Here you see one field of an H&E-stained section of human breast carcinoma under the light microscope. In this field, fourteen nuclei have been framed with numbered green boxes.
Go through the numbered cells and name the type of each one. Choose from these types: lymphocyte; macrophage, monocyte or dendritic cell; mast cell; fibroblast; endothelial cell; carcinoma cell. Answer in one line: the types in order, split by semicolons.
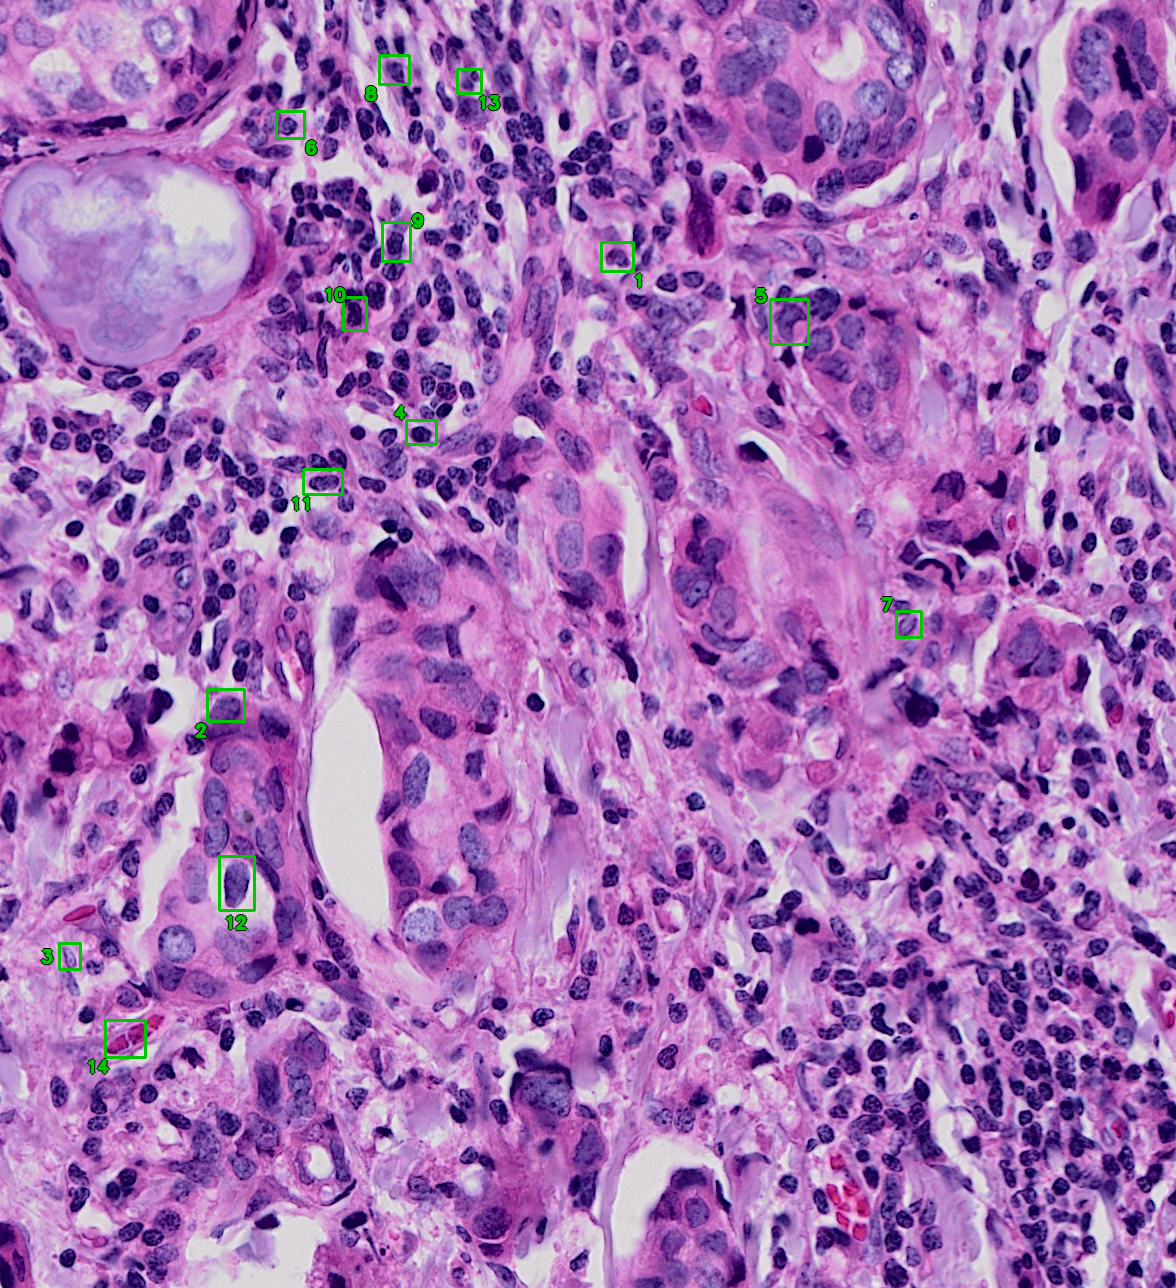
lymphocyte; carcinoma cell; macrophage, monocyte or dendritic cell; lymphocyte; carcinoma cell; lymphocyte; endothelial cell; lymphocyte; lymphocyte; lymphocyte; lymphocyte; carcinoma cell; lymphocyte; endothelial cell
